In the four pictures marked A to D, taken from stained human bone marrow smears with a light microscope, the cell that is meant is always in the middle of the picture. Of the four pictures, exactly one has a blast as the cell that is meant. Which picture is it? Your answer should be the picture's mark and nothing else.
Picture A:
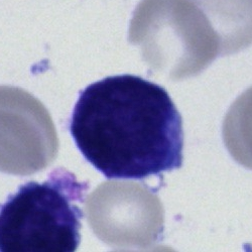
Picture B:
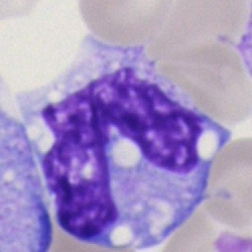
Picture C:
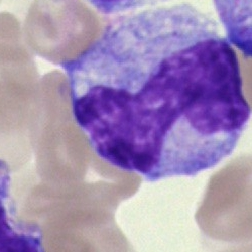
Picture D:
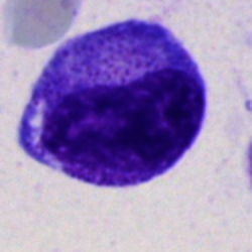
A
